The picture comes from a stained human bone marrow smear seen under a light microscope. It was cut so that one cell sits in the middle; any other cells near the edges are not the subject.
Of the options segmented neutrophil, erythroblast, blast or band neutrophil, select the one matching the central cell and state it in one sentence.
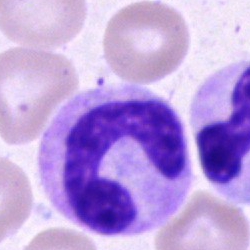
The cell nearest the centre of this crop is a band neutrophil.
